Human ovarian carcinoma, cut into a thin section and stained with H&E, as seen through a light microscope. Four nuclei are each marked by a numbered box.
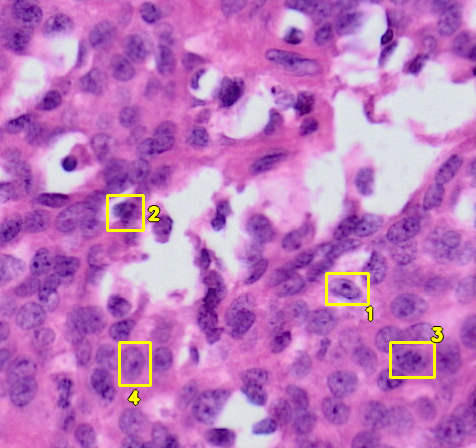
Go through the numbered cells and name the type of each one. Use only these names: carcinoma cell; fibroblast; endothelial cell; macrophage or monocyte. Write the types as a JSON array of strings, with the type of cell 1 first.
["macrophage or monocyte", "carcinoma cell", "carcinoma cell", "carcinoma cell"]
